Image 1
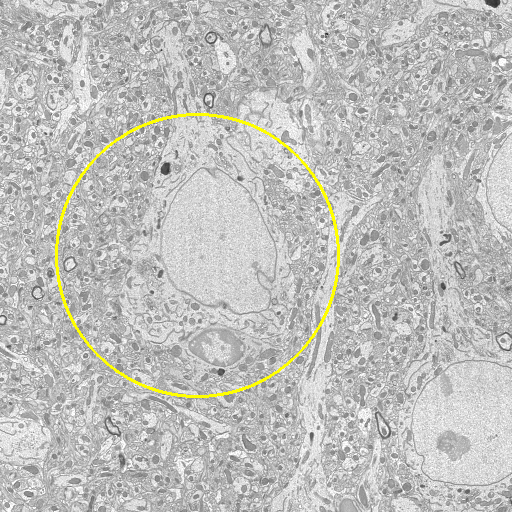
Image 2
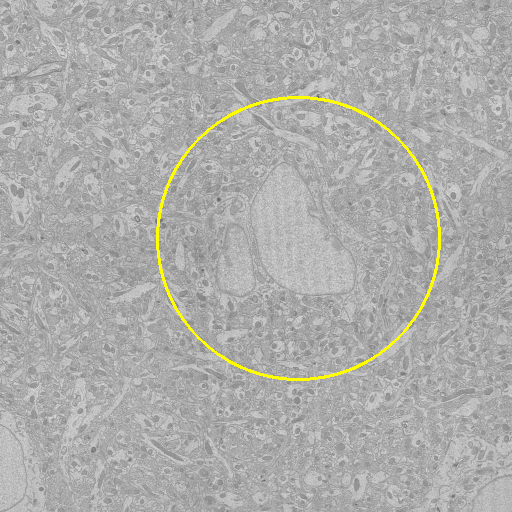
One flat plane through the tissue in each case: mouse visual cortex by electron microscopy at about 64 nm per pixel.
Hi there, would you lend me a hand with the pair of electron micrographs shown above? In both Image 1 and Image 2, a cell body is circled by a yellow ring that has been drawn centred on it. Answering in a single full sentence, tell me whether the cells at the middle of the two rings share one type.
No, the ringed cells in Image 1 and Image 2 belong to two types.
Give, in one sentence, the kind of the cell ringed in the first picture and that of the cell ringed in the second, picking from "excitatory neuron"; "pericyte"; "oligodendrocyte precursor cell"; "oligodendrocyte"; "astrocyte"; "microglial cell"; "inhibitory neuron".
For the first picture it is an excitatory neuron; for the second, an astrocyte.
